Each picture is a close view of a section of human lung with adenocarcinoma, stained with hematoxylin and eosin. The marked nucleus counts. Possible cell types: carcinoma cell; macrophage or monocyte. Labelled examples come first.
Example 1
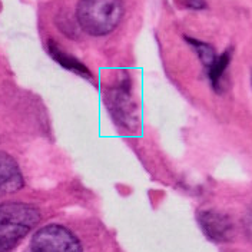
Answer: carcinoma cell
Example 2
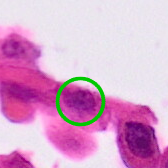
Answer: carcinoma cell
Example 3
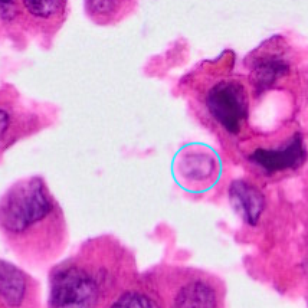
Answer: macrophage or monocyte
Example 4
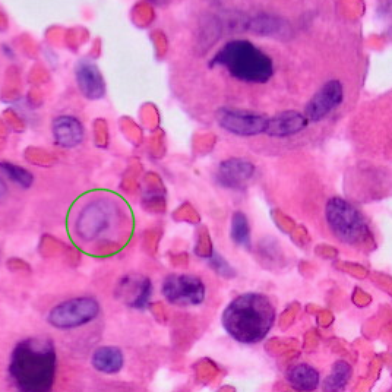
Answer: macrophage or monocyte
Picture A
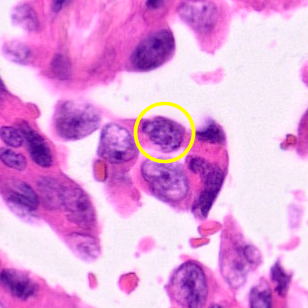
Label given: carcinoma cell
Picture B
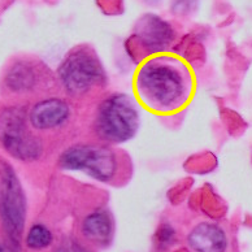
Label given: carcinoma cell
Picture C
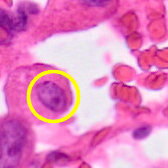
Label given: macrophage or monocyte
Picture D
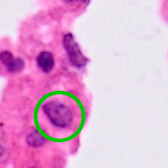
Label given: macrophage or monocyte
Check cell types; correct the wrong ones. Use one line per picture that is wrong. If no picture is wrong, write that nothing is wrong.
Every label is right.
